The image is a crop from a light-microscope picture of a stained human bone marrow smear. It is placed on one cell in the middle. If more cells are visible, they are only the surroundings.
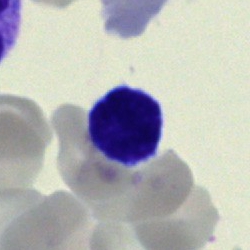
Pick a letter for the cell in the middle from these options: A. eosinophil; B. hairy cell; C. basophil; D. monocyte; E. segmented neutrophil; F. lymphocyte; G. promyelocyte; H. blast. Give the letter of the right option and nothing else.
F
